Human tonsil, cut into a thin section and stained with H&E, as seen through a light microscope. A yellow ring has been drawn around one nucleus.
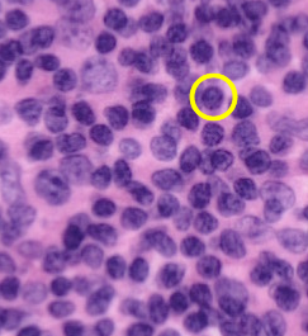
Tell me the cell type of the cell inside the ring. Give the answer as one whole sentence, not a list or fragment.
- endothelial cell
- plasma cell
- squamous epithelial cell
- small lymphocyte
Considered by cell type, the cell inside the ring is a small lymphocyte.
